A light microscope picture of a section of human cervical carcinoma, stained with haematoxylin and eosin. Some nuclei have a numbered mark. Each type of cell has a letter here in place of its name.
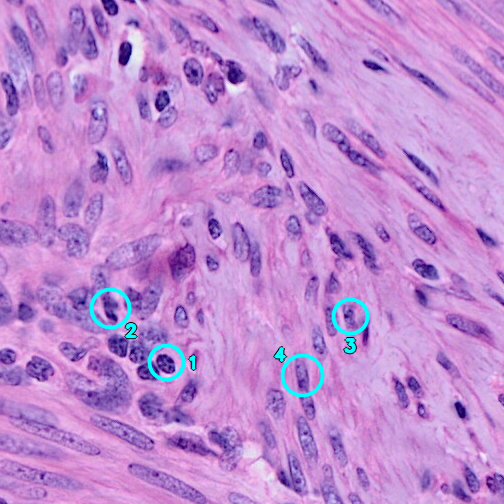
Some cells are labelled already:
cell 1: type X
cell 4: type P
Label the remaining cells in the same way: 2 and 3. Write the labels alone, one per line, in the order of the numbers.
type X
type P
